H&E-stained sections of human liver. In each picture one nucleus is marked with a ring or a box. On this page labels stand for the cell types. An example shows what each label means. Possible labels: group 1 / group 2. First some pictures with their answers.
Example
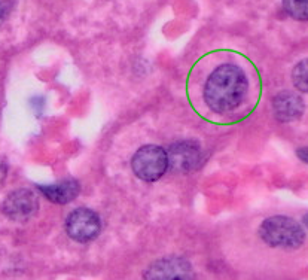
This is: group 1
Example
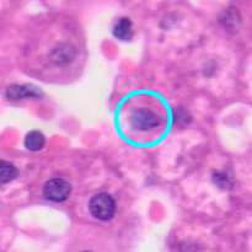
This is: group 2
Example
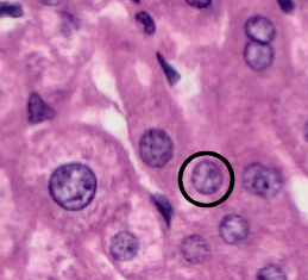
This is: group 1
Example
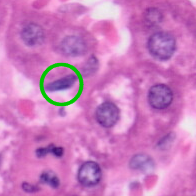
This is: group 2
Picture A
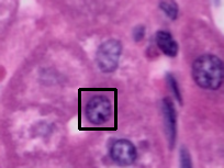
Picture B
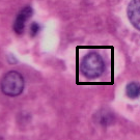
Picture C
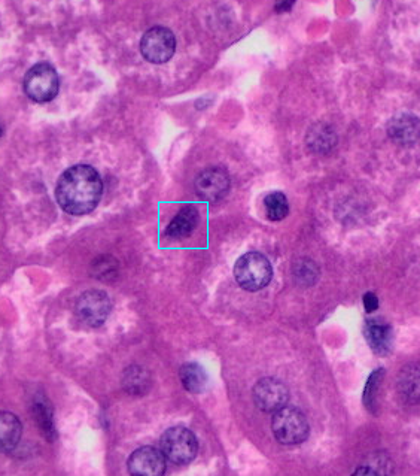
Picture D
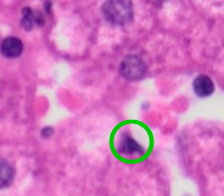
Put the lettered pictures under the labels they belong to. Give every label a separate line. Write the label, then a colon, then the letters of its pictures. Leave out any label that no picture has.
group 1: A, B
group 2: C, D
